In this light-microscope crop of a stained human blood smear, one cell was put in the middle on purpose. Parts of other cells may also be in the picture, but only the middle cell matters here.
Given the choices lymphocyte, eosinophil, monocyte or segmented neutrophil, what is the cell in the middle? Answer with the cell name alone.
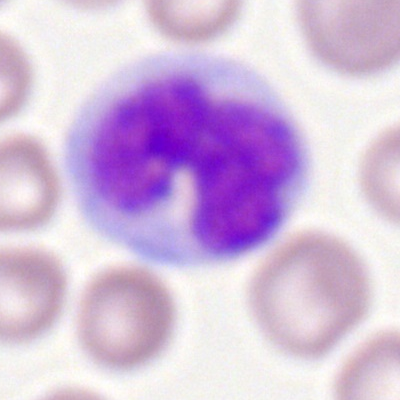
monocyte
